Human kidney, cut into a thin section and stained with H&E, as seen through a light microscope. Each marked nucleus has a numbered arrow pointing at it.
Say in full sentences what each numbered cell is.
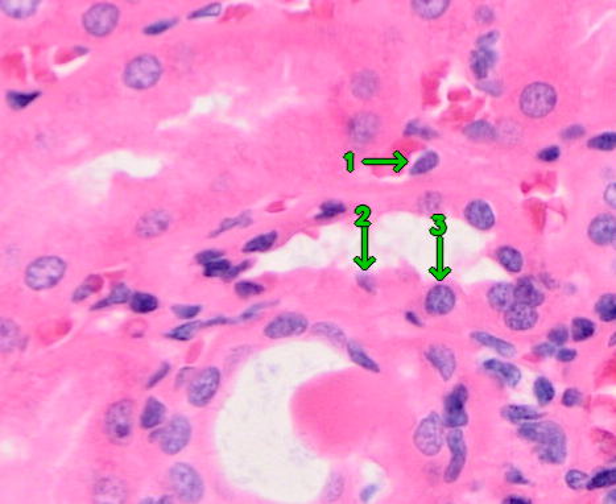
Cell 1 is an endothelial cell. Cells 2 and 3 are loop of Henle or distal tubule cells.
